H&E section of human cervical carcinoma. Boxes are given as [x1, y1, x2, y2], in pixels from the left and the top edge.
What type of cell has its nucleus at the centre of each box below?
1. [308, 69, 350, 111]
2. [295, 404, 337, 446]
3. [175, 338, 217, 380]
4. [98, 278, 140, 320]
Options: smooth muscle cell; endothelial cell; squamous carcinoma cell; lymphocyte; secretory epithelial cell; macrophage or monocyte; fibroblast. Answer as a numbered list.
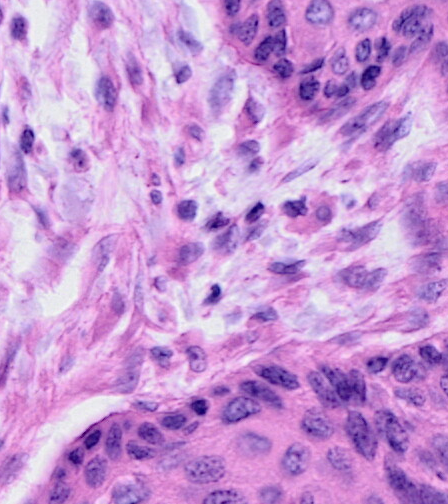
1. squamous carcinoma cell
2. squamous carcinoma cell
3. macrophage or monocyte
4. fibroblast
